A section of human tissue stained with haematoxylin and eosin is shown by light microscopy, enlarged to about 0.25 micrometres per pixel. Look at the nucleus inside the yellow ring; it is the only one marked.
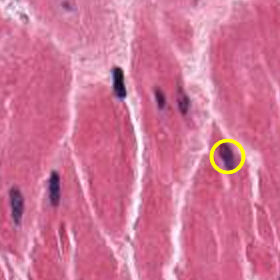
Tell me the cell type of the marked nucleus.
smooth muscle cell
